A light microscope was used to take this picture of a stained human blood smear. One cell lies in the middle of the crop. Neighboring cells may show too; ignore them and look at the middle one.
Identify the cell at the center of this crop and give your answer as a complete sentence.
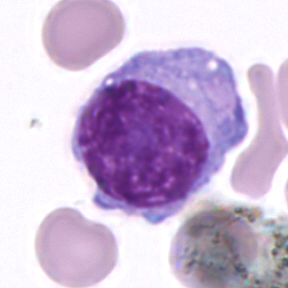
The cell of interest, in the center, is a plasma cell.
